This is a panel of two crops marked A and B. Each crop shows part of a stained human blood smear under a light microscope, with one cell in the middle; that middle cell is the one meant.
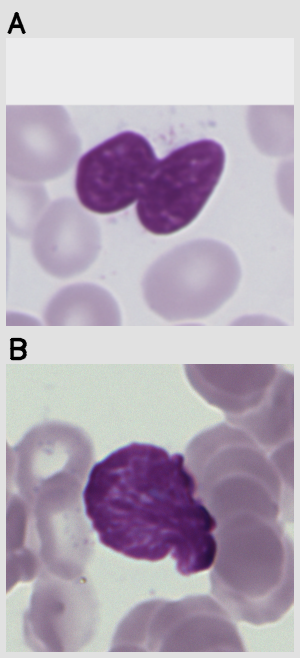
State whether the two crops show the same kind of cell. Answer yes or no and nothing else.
yes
